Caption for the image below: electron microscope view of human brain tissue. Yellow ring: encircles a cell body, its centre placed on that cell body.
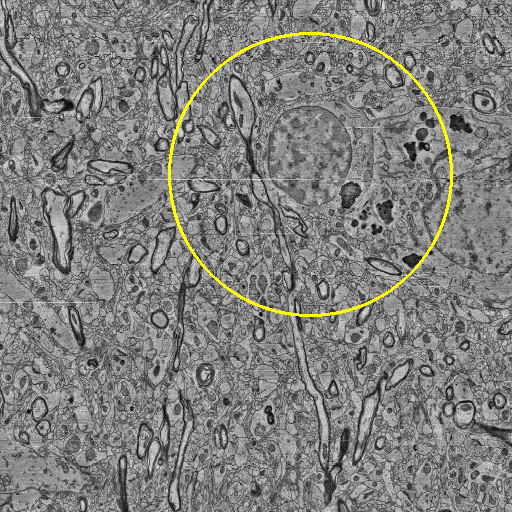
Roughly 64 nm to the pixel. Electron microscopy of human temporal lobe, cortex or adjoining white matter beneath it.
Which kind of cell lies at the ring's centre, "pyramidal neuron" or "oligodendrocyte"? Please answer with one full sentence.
The picture shows an oligodendrocyte at the centre of the yellow ring.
